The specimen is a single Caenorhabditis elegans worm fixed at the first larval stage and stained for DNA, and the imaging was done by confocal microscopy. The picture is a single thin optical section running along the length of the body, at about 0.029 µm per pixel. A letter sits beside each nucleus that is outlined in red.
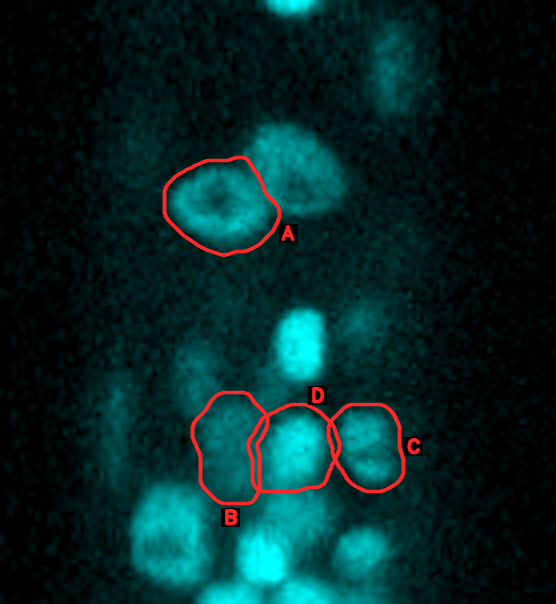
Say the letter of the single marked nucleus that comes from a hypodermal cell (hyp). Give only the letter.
A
